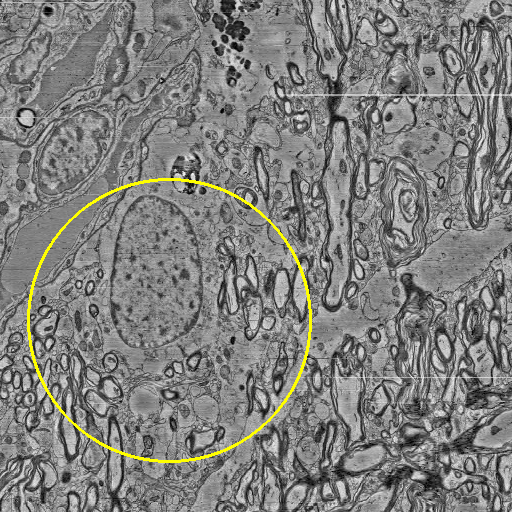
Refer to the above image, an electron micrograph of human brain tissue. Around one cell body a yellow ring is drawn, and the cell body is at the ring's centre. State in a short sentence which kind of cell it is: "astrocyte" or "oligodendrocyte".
The centre of the ring falls on an astrocyte.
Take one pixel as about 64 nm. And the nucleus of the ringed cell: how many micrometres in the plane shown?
Approximately 10 by 6 micrometers, which makes the nucleus clearly longer than it is wide in this plane.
